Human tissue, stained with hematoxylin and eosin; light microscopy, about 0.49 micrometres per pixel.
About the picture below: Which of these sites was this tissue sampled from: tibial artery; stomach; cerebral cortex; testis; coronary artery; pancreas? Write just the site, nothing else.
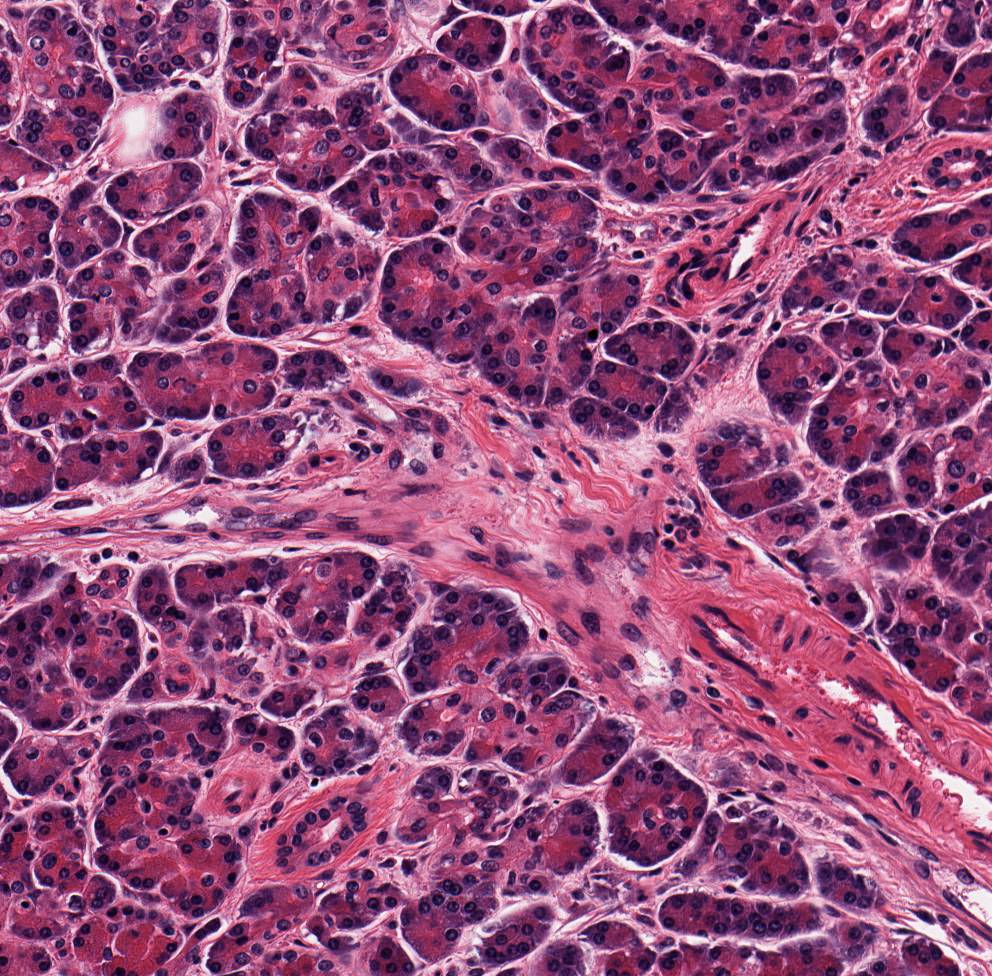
pancreas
